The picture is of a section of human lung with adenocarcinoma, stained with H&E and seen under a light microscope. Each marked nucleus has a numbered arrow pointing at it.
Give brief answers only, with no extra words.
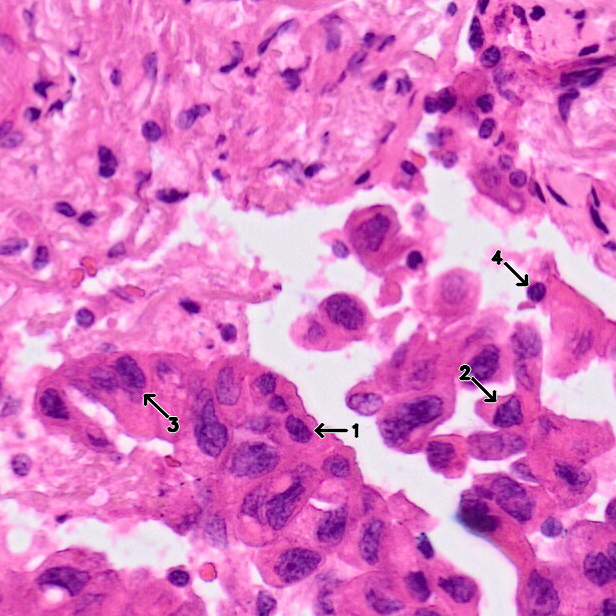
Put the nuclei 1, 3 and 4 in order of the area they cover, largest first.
3, 1, 4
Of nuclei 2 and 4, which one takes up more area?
2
